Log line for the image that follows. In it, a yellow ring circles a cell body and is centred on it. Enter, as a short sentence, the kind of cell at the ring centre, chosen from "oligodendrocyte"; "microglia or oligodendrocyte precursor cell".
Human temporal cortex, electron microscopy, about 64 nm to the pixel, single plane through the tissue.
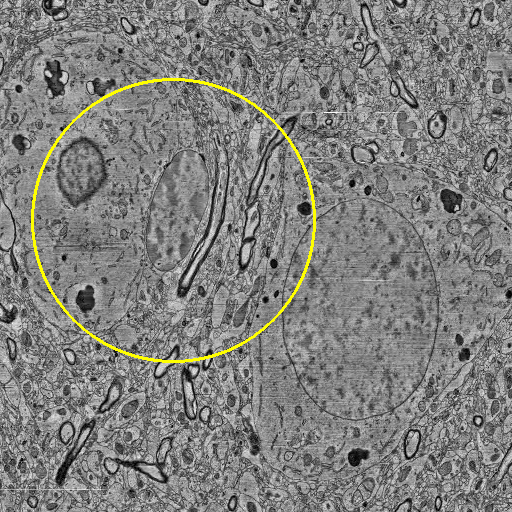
The ring centre is occupied by a microglial cell or oligodendrocyte precursor cell.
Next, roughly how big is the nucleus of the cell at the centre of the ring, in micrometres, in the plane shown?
About 8 by 4 micrometres; in this plane the nucleus is clearly longer than it is wide.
